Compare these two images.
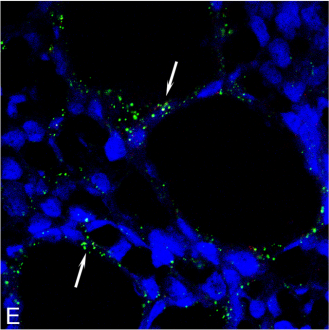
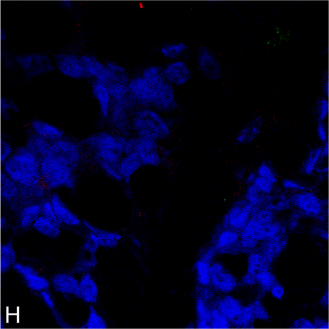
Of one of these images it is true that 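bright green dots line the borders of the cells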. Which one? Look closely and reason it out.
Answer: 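The first image. Second image: blue nuclei of packed cells with almost no green dots. First image: many bright green dots along the margins of cells around blue nuclei.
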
